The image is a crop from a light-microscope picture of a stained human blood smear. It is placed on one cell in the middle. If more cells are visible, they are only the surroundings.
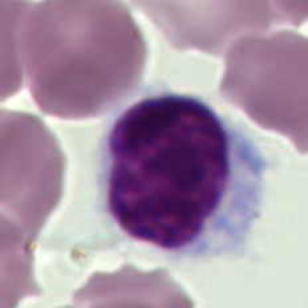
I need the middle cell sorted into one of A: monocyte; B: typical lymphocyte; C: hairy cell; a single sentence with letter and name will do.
Option C is the correct one; it names the central cell as a hairy cell.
